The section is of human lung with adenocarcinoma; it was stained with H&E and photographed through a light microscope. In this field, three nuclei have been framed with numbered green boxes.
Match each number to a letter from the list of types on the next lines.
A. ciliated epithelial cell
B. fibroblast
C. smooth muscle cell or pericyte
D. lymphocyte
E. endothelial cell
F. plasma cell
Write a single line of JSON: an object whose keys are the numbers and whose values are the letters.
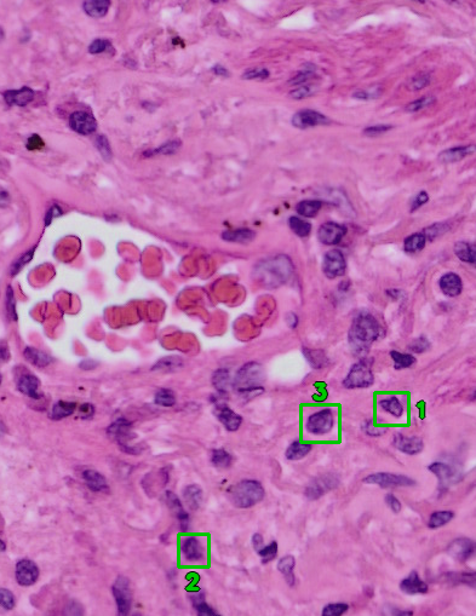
{"1": "D", "2": "F", "3": "D"}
